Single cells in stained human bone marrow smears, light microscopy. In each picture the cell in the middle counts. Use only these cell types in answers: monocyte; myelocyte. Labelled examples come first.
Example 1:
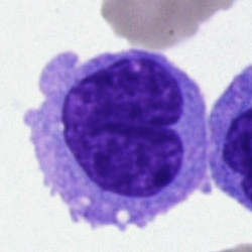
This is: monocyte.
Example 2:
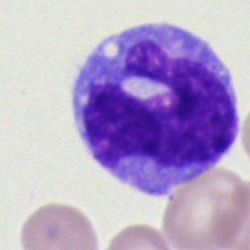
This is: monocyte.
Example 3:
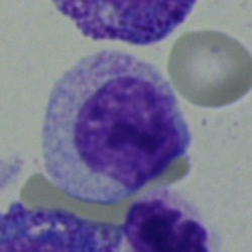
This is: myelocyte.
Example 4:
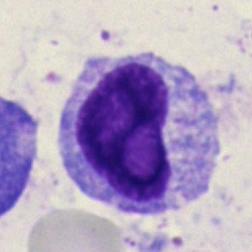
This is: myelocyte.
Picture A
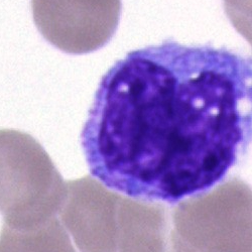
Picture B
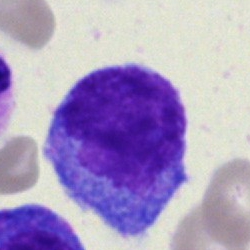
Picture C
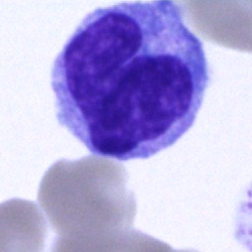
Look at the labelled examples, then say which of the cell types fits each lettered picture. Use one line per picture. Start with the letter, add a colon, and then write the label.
A: monocyte.
B: monocyte.
C: monocyte.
